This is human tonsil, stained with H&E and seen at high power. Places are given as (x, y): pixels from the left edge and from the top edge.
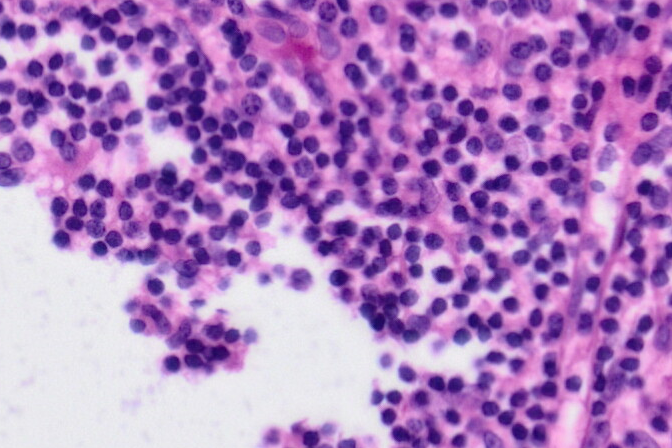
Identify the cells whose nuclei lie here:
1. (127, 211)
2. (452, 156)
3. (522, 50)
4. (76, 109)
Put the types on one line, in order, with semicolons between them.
small lymphocyte; small lymphocyte; plasma cell; small lymphocyte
